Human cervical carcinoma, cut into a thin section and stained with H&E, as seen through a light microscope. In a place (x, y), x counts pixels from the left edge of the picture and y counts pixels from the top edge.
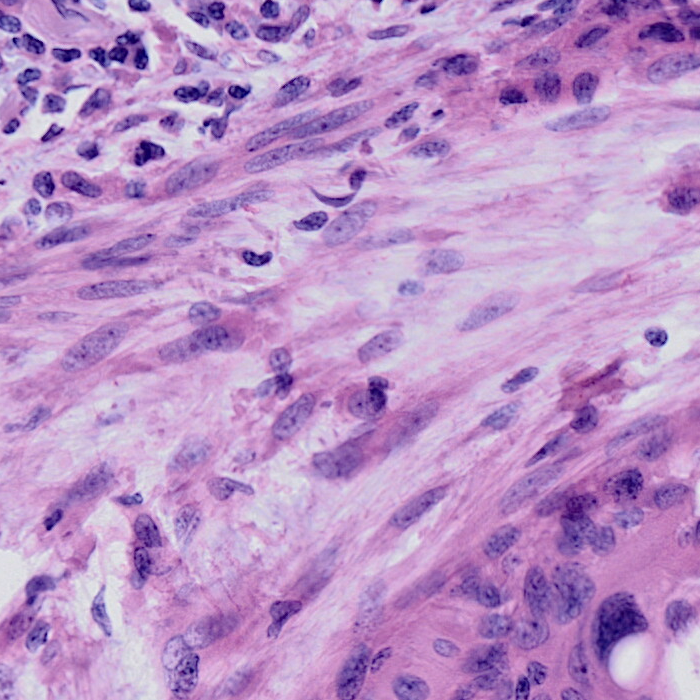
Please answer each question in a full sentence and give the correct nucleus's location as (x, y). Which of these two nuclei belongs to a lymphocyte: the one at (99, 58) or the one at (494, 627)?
Of the two, the nucleus lying at (99, 58) is the one belonging to a lymphocyte.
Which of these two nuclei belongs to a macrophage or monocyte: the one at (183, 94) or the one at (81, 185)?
Of these two nuclei, only the one at (81, 185) belongs to a macrophage or monocyte.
